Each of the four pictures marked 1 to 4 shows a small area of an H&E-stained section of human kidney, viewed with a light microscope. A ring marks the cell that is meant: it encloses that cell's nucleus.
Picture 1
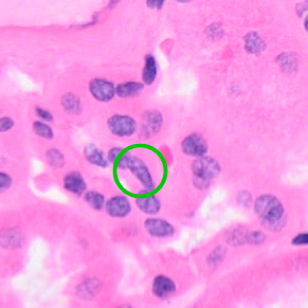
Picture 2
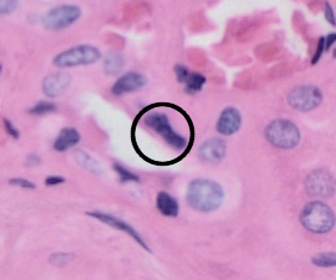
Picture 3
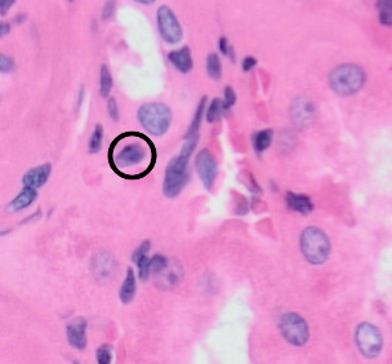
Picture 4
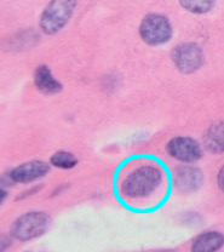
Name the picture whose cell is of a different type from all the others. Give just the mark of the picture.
3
